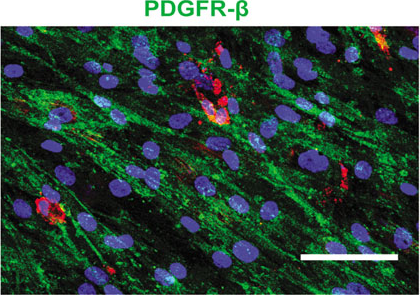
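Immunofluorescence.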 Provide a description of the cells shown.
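A fine, granular green label fills elongated cells that mostly lie in one diagonal direction. Small groups of cells marked in red sit scattered among them.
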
